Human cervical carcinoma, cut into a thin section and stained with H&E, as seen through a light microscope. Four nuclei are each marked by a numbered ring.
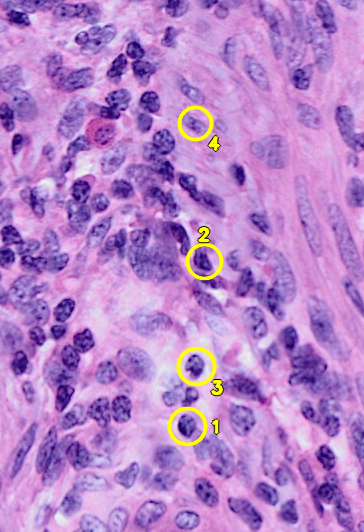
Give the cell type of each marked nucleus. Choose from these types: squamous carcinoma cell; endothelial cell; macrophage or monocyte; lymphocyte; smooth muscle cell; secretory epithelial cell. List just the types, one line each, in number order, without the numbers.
lymphocyte
lymphocyte
lymphocyte
smooth muscle cell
